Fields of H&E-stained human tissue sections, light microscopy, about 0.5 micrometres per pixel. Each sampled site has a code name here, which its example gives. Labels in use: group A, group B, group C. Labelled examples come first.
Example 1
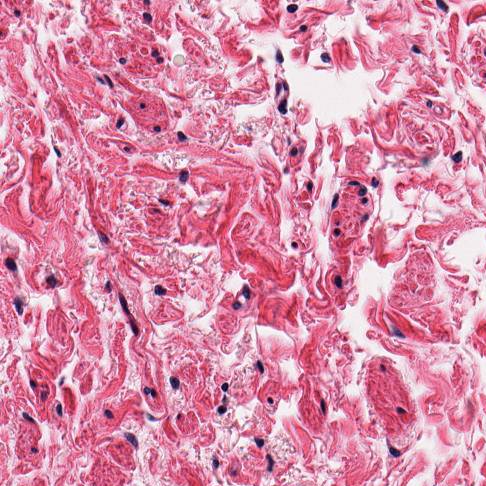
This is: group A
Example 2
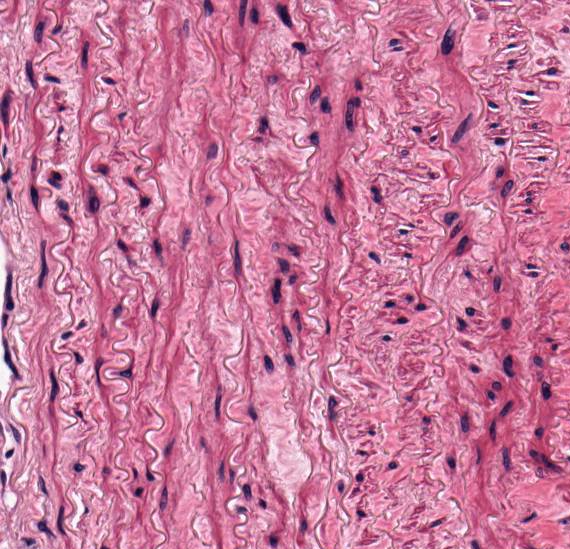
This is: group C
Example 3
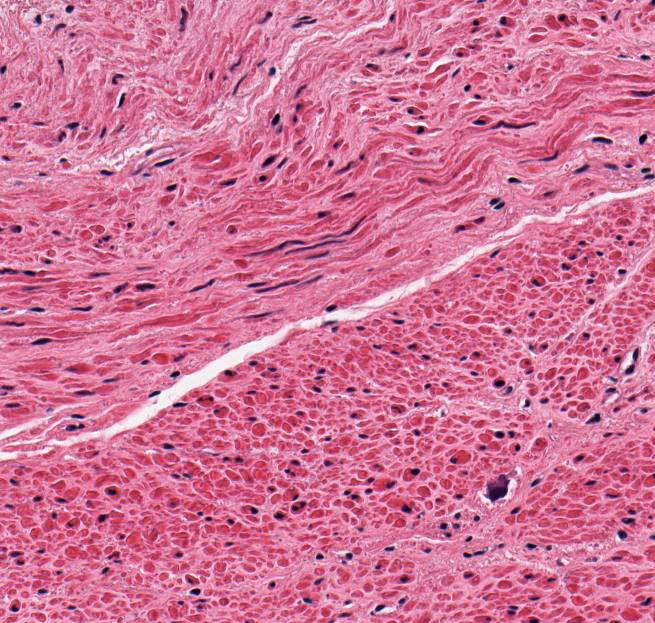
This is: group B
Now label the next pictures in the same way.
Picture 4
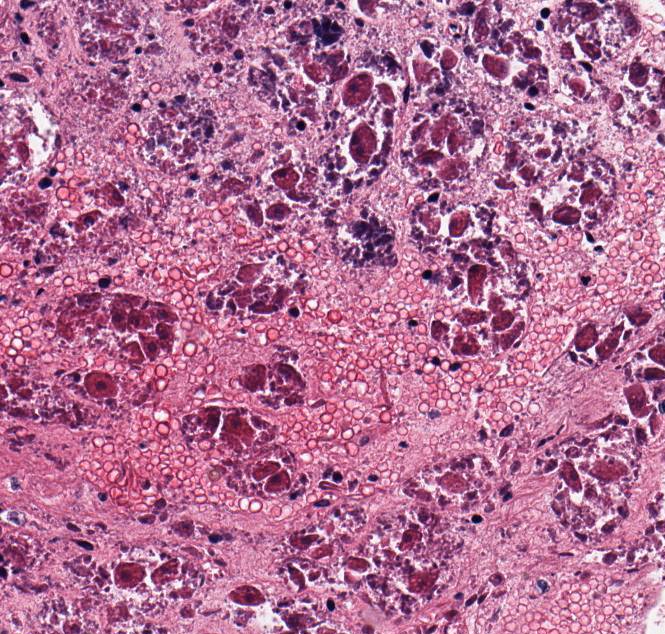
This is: group B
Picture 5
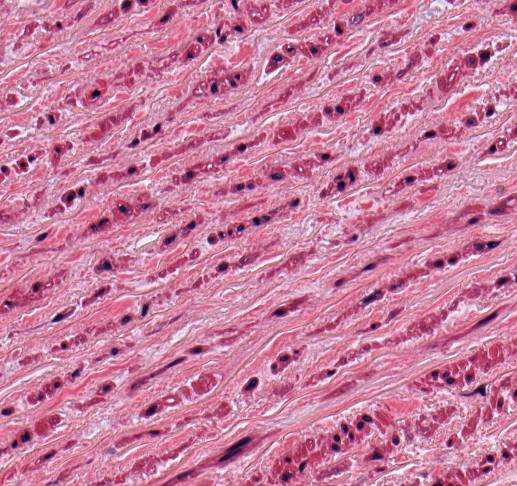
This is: group C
